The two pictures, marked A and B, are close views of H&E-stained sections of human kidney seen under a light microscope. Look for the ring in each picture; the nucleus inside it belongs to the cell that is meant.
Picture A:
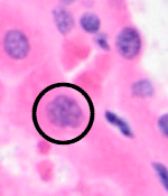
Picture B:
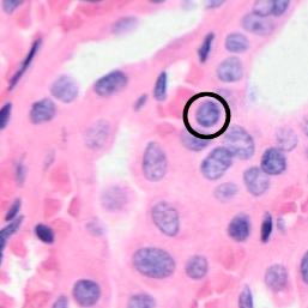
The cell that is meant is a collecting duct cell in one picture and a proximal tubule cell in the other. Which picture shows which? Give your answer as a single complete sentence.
Picture B shows a collecting duct cell, while picture A shows a proximal tubule cell.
